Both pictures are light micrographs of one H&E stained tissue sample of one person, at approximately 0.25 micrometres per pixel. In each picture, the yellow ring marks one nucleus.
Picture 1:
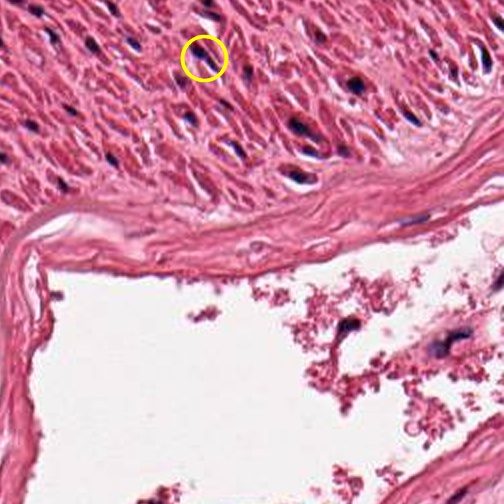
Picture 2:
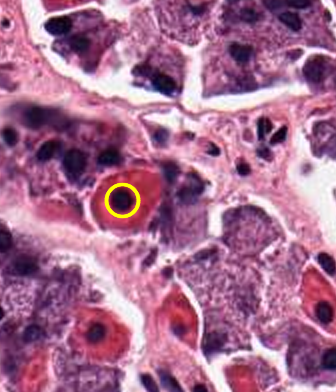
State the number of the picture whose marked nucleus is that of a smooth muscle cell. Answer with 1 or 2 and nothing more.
1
